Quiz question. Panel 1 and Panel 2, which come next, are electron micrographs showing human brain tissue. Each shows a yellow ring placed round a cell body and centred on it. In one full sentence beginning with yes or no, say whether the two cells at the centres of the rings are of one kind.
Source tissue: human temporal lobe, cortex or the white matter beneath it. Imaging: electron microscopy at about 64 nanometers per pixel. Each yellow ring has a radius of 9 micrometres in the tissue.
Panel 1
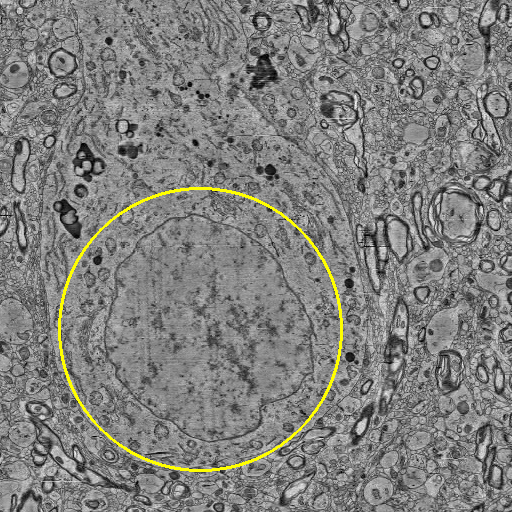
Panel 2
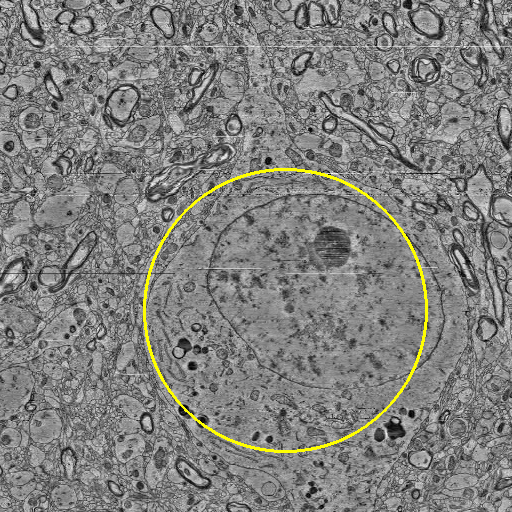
Yes, Panel 1 and Panel 2 show one kind of cell at the centre of the ring.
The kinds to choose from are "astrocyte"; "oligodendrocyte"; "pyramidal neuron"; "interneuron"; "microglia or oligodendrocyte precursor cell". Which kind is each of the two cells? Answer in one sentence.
Each cell, in the first picture and the second, is a pyramidal neuron.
